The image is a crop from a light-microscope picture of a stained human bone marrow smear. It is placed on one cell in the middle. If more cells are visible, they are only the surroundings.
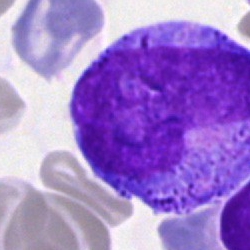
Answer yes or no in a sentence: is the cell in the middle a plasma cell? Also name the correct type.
No, the middle cell is classified as a promyelocyte and not as a plasma cell.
